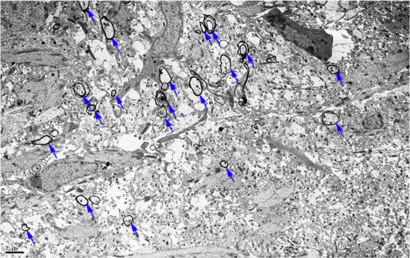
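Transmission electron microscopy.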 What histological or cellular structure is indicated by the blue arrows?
myelinated axons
